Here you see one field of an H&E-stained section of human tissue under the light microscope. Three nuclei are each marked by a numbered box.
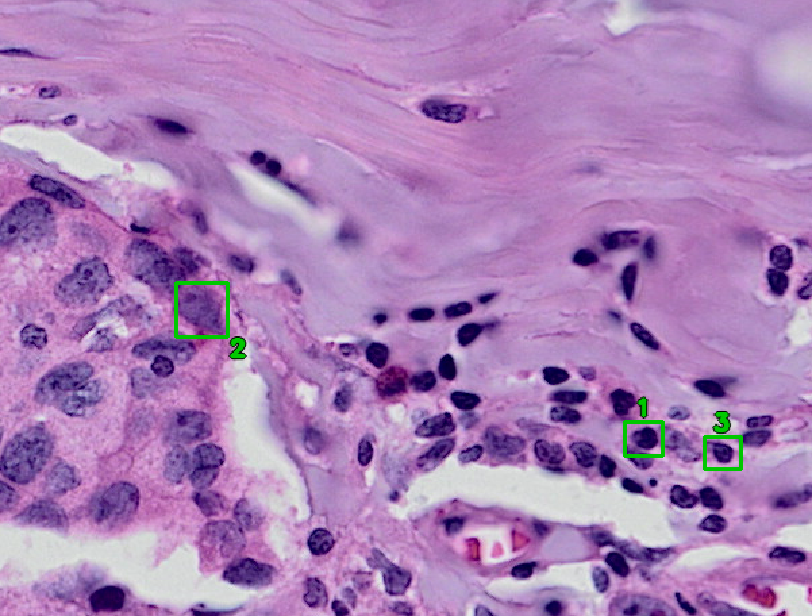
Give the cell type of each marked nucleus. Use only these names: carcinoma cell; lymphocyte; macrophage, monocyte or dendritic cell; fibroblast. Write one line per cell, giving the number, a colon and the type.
1: lymphocyte
2: carcinoma cell
3: lymphocyte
